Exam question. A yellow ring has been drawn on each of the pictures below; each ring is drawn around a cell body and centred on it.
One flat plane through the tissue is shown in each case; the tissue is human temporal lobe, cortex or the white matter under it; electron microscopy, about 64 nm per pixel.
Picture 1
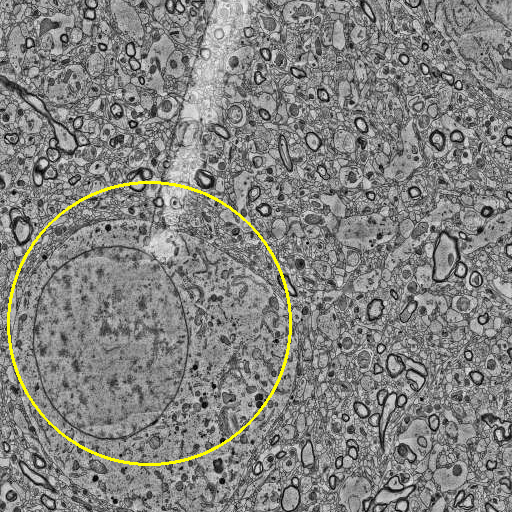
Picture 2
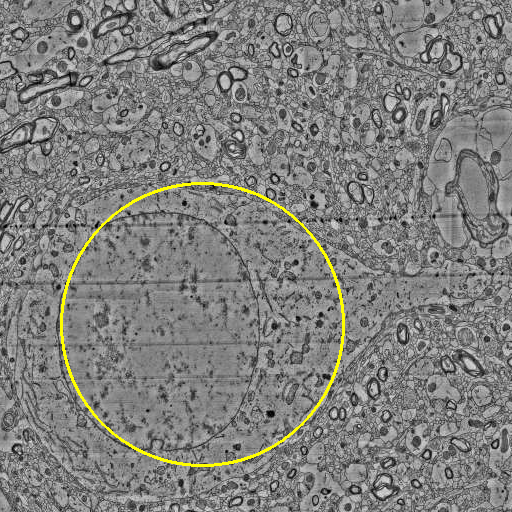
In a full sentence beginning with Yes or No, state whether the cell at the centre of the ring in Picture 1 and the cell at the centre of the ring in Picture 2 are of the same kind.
Yes, the two cells are of the same kind.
